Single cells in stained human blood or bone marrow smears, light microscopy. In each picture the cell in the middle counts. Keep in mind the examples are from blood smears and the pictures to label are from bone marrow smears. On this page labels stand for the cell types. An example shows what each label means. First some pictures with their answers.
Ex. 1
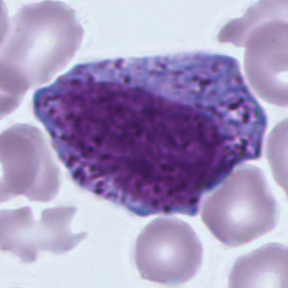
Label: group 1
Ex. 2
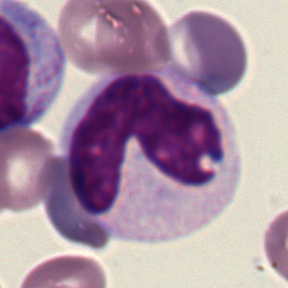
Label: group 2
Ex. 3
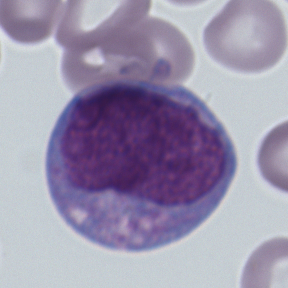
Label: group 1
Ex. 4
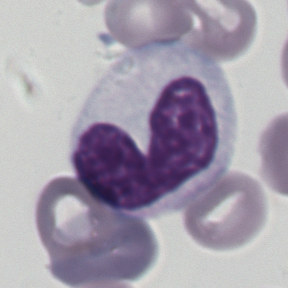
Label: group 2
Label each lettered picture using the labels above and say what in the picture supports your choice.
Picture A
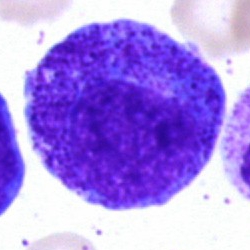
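group 1. The chromatin is fine rather than coarsely clumped.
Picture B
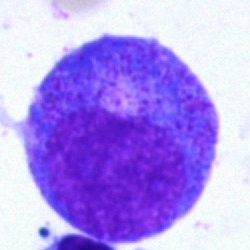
group 1. The chromatin is finely granular rather than coarsely clumped.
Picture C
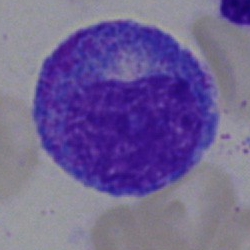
group 1. The chromatin is finely granular rather than coarsely clumped.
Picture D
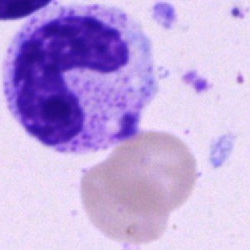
group 2. The nucleus is a single curved C-shaped band whose open side faces right.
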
